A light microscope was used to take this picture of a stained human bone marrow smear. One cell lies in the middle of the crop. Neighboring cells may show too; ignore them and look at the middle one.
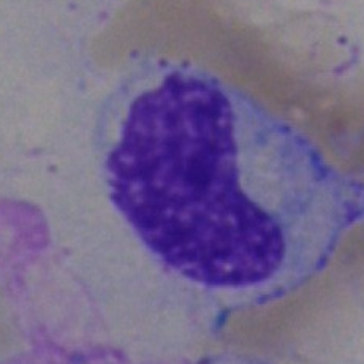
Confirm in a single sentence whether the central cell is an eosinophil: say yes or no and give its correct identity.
No, the cell under consideration is a band neutrophil instead of an eosinophil.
